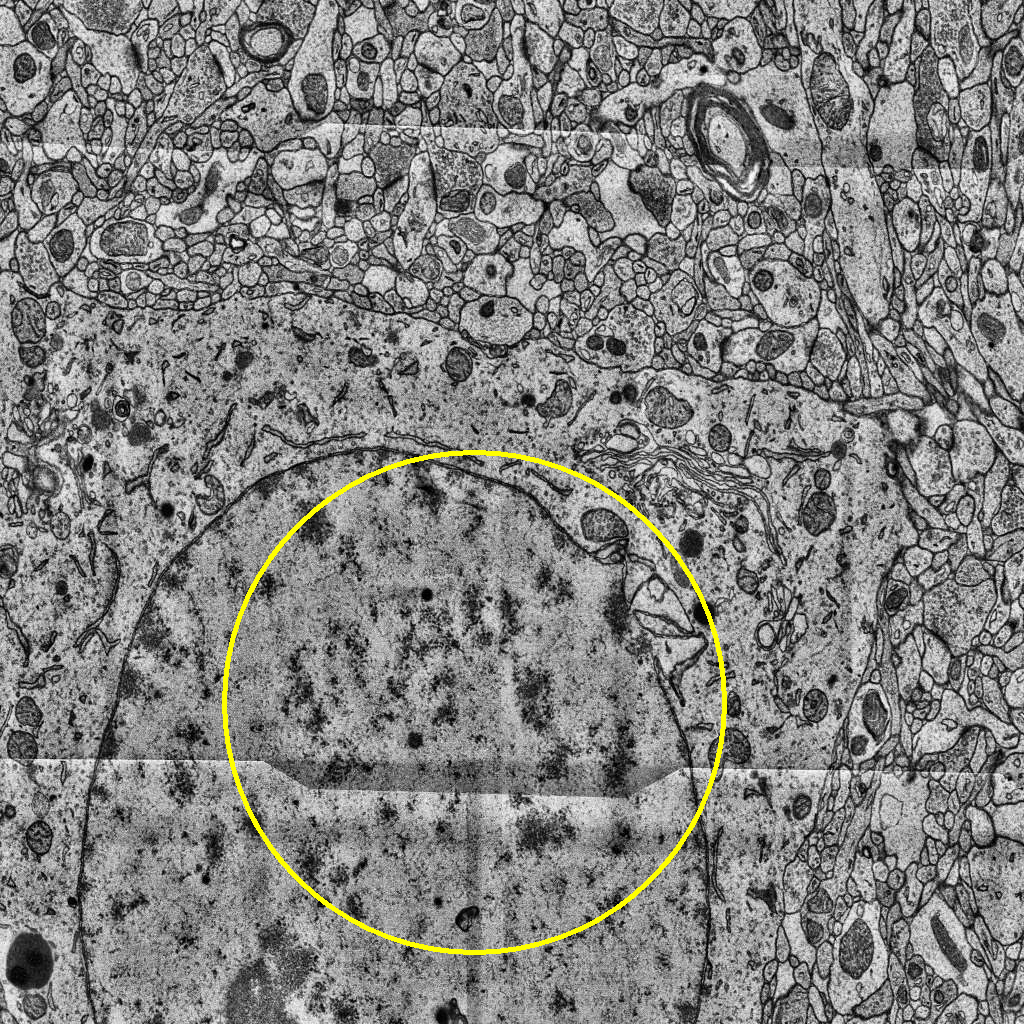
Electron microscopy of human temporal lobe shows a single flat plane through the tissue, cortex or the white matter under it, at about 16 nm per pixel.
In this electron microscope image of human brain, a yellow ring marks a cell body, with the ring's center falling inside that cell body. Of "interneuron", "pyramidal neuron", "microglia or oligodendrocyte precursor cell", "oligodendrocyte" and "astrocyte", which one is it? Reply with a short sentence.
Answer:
It is a pyramidal neuron at the center of the ring.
